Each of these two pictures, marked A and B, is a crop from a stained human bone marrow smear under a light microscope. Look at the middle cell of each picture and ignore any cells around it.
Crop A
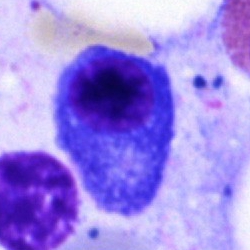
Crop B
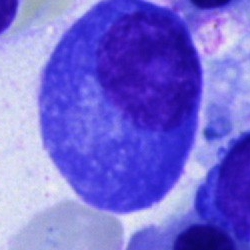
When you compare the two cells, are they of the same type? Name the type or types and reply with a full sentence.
Yes, both crops show plasma cells in the centre of the field.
